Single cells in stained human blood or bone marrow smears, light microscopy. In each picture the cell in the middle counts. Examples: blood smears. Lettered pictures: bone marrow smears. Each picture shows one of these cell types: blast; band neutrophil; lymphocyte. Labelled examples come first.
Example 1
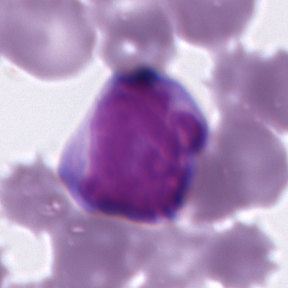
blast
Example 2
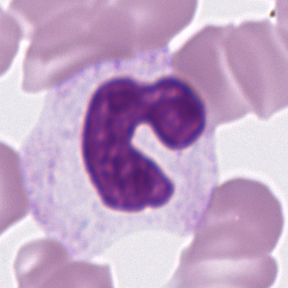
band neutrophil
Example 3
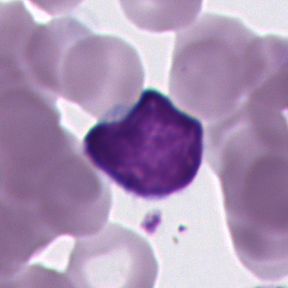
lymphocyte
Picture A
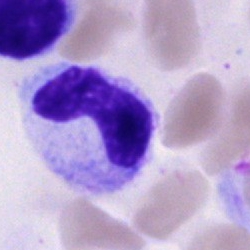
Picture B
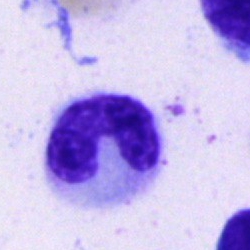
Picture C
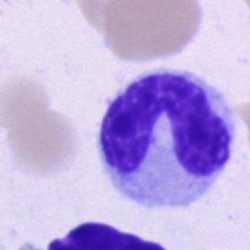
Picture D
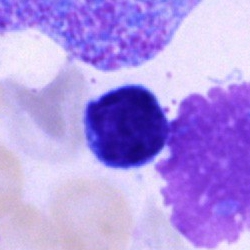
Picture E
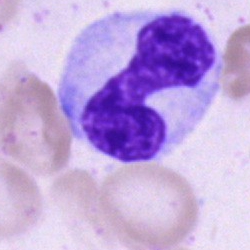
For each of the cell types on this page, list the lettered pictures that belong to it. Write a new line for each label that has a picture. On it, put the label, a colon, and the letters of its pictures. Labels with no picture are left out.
band neutrophil: A, B, C, E
lymphocyte: D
